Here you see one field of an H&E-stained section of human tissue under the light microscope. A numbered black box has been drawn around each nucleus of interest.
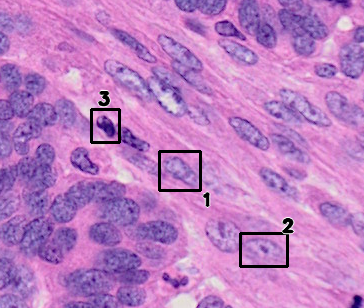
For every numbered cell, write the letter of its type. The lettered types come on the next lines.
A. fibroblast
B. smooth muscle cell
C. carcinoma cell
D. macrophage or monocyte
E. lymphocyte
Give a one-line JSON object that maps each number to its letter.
{"1": "A", "2": "A", "3": "E"}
